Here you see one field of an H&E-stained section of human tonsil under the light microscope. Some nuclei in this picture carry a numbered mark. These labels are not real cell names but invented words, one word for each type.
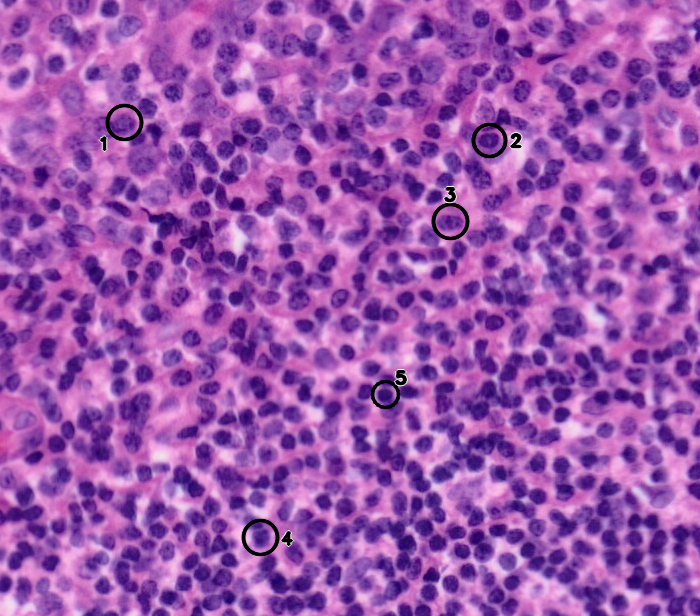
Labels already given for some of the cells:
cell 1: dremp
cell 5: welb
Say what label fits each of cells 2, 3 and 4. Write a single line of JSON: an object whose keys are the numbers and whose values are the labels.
{"2": "dremp", "3": "dremp", "4": "welb"}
